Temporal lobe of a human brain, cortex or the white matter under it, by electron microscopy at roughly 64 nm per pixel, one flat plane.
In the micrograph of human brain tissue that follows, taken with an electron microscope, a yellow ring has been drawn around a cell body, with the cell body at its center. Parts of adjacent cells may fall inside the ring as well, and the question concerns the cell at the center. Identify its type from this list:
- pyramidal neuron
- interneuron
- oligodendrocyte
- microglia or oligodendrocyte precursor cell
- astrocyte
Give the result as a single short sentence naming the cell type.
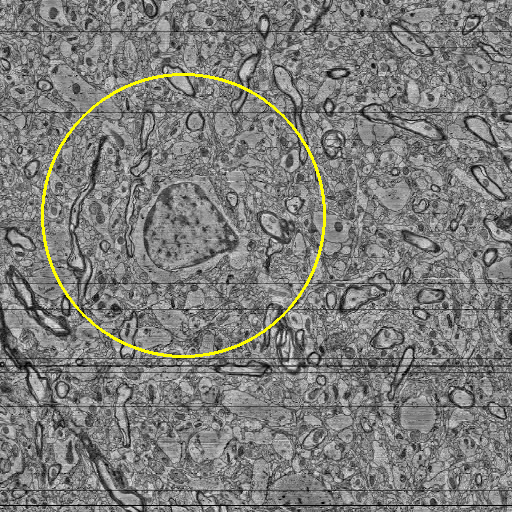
The ring is centered on a microglial cell or oligodendrocyte precursor cell.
